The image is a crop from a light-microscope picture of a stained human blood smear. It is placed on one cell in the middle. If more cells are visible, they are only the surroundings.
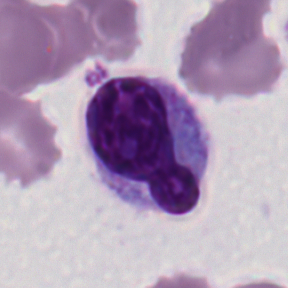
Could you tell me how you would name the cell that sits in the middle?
plasma cell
